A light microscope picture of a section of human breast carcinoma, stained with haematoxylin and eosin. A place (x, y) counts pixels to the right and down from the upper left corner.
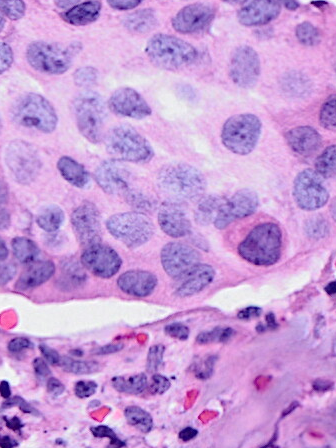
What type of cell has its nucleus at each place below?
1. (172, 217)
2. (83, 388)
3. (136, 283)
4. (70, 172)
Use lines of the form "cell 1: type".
cell 1: carcinoma cell
cell 2: lymphocyte
cell 3: carcinoma cell
cell 4: carcinoma cell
